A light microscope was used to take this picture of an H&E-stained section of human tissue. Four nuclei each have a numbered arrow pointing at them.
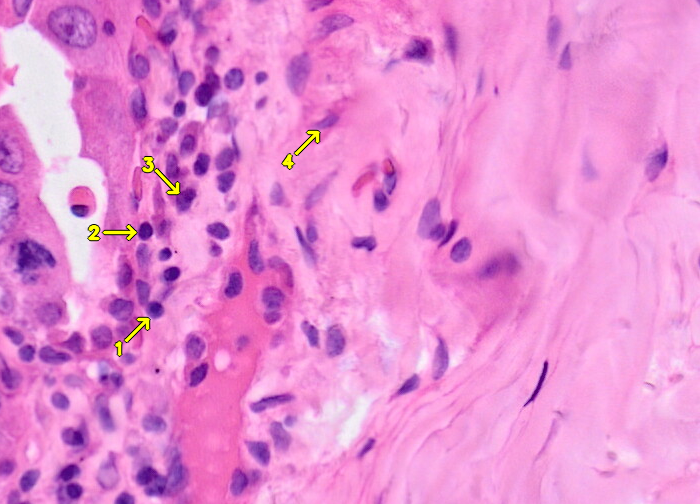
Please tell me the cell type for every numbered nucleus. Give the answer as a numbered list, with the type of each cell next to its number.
1. lymphocyte
2. lymphocyte
3. plasma cell
4. smooth muscle cell or pericyte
